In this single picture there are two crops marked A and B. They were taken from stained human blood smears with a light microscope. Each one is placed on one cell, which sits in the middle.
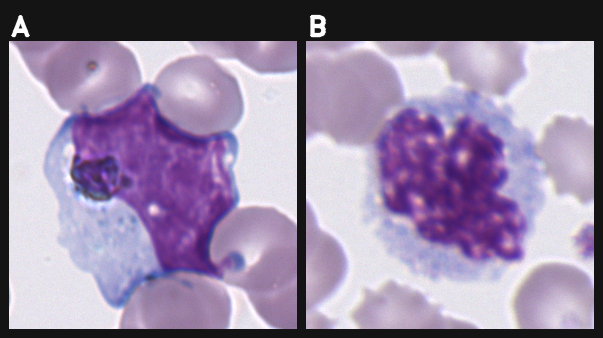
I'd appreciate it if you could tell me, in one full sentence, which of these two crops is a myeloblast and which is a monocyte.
Identification: crop A is a myeloblast; crop B is a monocyte.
